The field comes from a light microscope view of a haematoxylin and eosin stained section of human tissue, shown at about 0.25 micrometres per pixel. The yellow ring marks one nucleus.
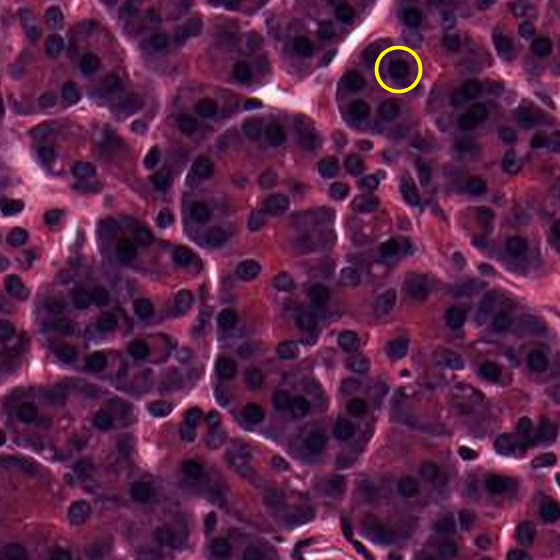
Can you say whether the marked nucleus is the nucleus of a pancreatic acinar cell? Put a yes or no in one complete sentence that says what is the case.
Yes, the nucleus that is marked belongs to a pancreatic acinar cell.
